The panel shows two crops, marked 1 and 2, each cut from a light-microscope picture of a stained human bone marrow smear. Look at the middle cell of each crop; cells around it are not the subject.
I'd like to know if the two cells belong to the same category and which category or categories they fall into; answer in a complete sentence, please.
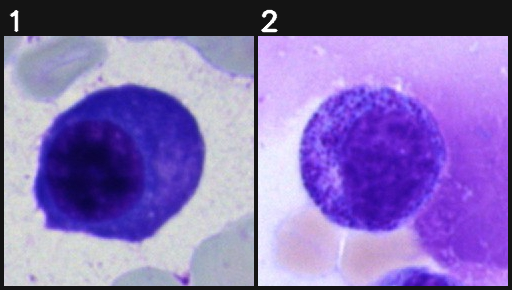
No, crop 1 depicts a plasma cell; crop 2 depicts a promyelocyte.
